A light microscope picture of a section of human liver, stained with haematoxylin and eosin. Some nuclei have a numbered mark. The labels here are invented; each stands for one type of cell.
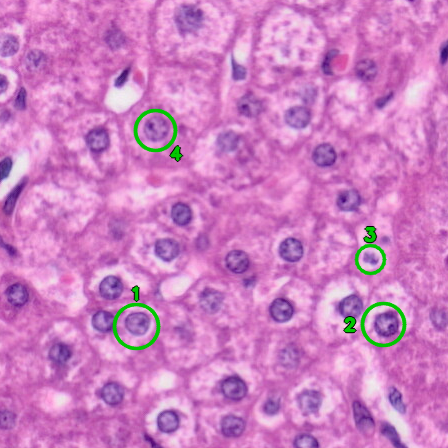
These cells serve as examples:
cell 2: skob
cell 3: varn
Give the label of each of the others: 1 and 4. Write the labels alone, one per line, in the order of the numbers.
skob
skob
